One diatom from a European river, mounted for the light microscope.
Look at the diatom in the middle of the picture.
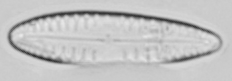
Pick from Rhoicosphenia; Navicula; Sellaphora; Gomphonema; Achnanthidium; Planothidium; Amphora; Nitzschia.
Gomphonema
